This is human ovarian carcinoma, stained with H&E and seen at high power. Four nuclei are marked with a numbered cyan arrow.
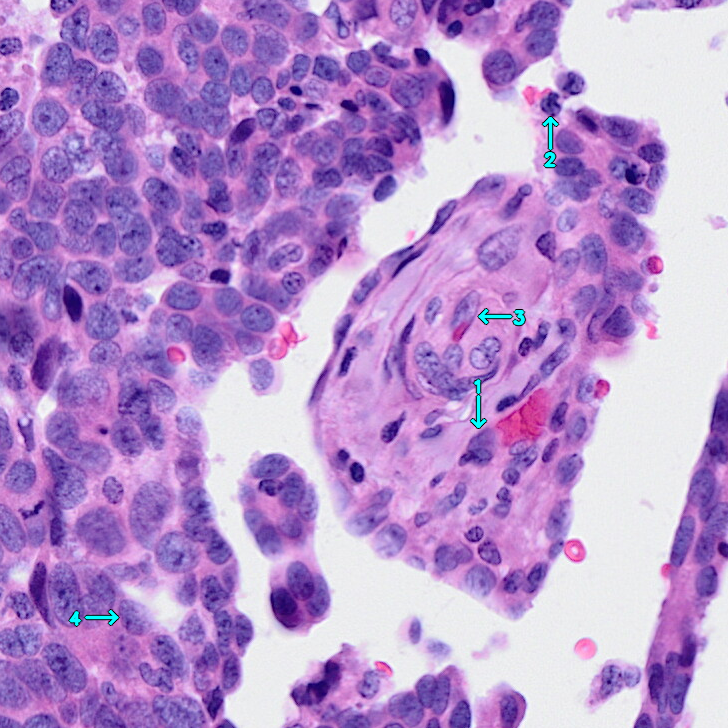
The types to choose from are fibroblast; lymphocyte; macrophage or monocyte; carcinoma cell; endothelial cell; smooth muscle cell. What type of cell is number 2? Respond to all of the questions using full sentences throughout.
Cell number 2 in this section is a lymphocyte.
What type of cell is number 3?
Denoted by the label 3 in the section is an endothelial cell.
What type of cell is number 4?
The nucleus with number 4 is that of a carcinoma cell.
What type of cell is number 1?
Nucleus 1 in this section belongs to an endothelial cell.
